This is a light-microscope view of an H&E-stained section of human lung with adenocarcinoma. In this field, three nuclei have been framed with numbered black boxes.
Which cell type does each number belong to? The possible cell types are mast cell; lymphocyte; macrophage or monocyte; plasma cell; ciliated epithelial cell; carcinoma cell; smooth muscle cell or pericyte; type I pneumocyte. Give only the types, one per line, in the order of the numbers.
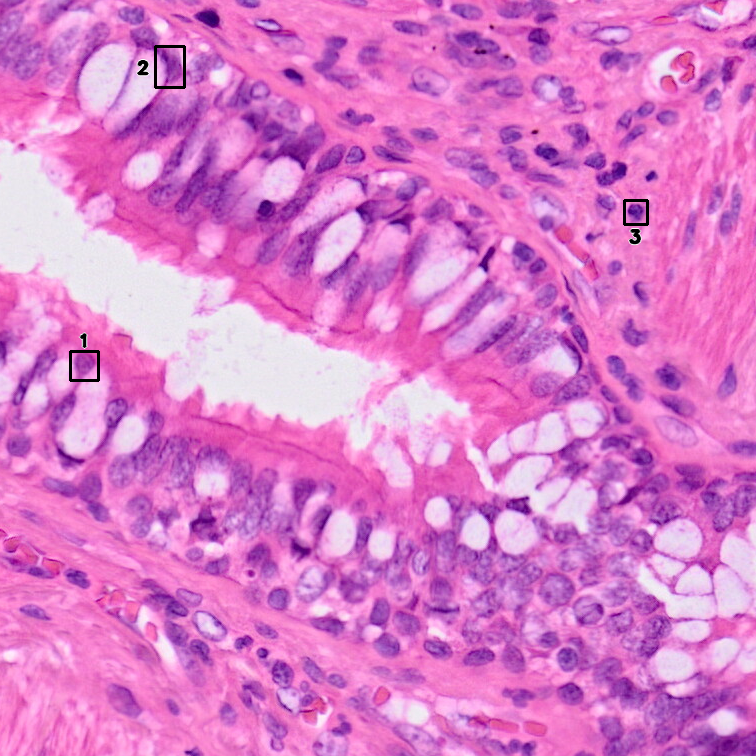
ciliated epithelial cell
ciliated epithelial cell
lymphocyte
